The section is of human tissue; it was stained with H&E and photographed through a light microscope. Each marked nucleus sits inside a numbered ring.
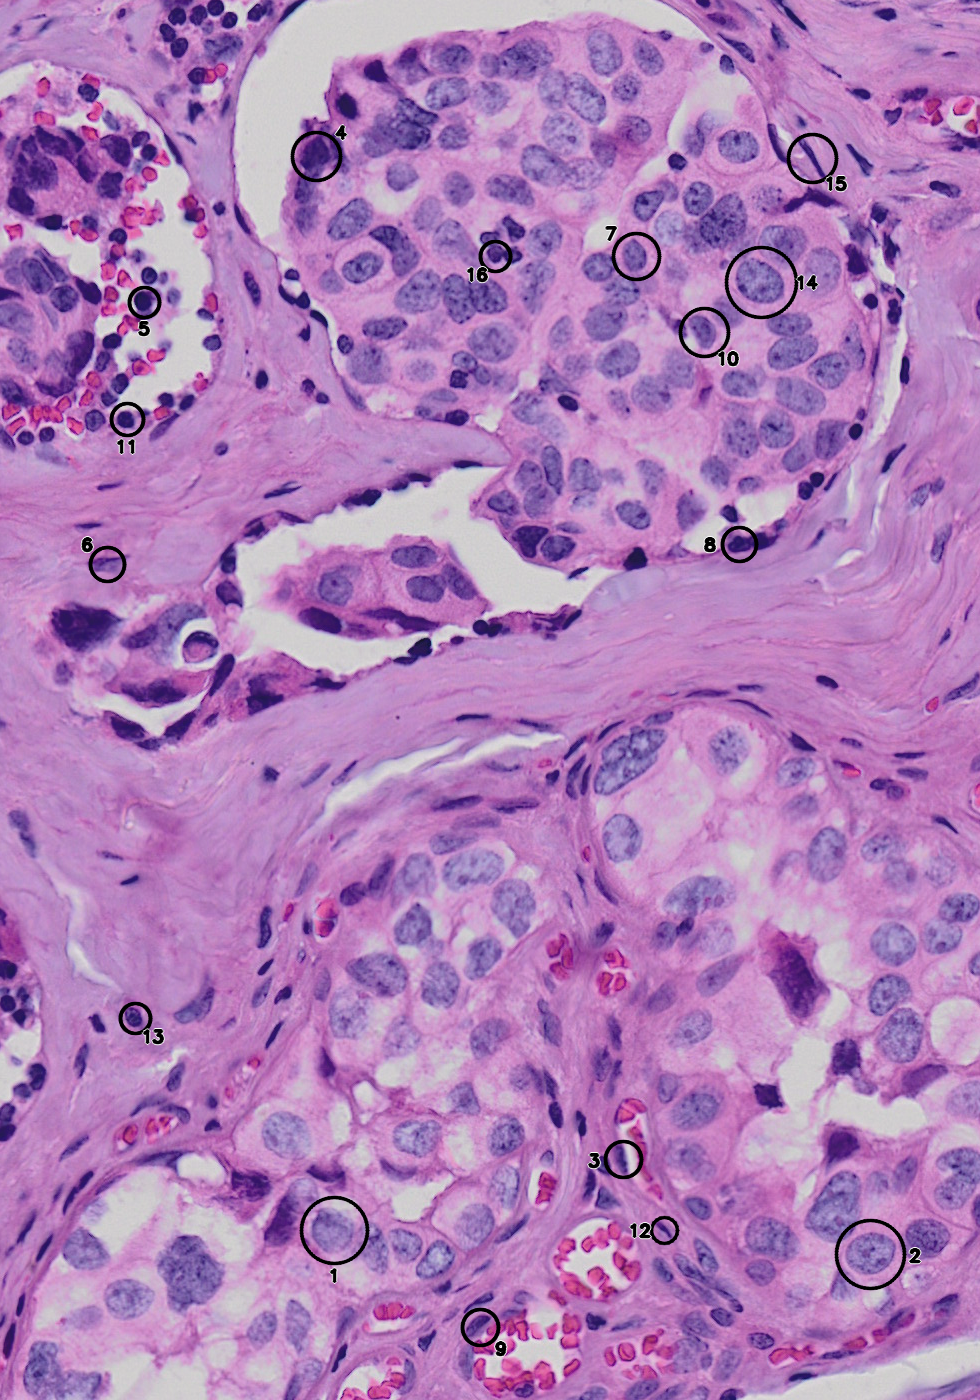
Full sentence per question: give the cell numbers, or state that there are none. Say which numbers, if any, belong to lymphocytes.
Cells 5, 8, 11 and 16 are lymphocytes by cell type.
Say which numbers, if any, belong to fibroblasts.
The cells to which the numbers 6 and 15 refer are fibroblasts.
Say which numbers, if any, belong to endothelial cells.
Cells numbered 3, 9 and 12 belong to the group of endothelial cells.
